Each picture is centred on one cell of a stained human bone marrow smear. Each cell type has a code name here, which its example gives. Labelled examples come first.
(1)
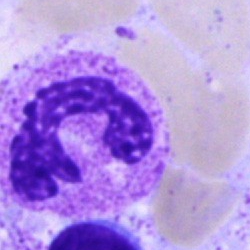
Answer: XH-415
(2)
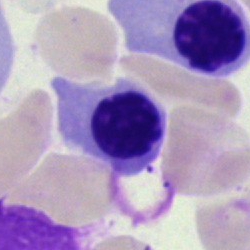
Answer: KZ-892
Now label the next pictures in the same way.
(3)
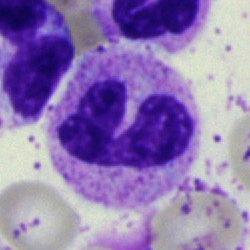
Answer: XH-415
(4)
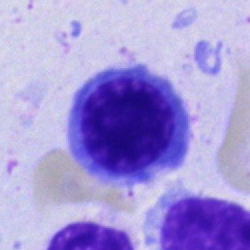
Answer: KZ-892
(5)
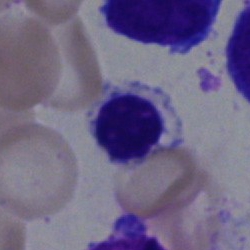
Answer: KZ-892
